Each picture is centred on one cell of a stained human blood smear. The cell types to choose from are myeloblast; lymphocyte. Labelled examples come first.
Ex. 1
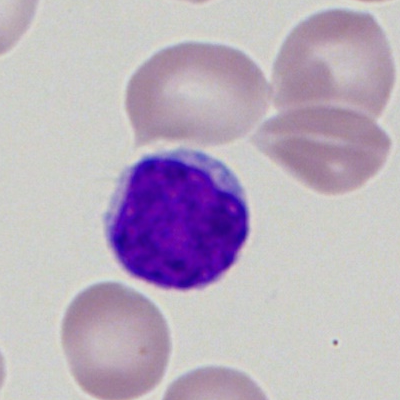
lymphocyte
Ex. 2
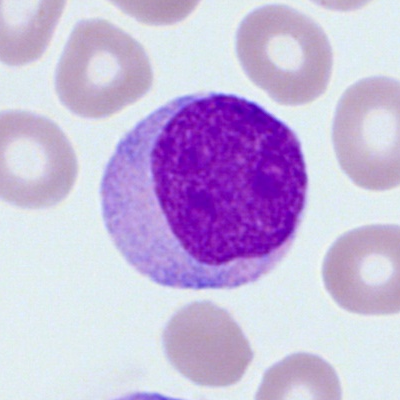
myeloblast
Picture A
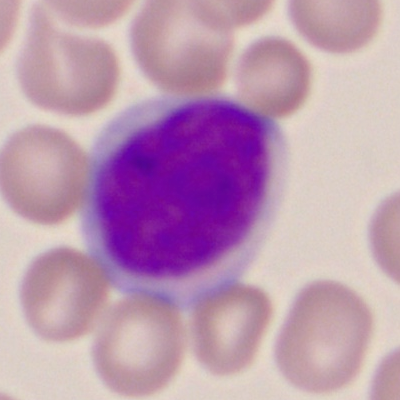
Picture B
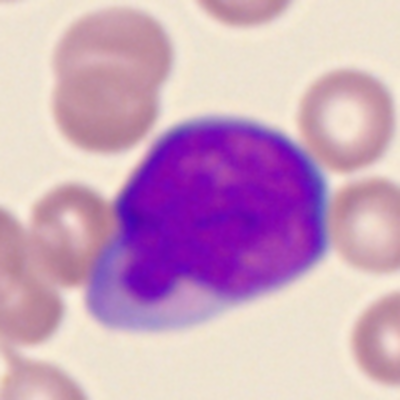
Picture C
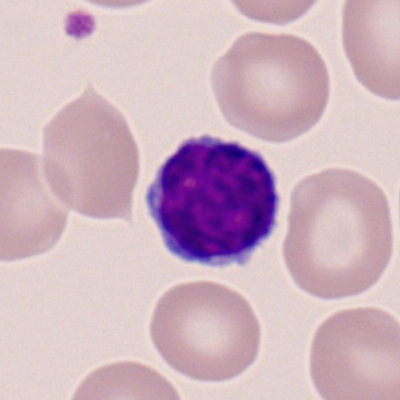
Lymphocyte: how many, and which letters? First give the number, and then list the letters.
1: C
